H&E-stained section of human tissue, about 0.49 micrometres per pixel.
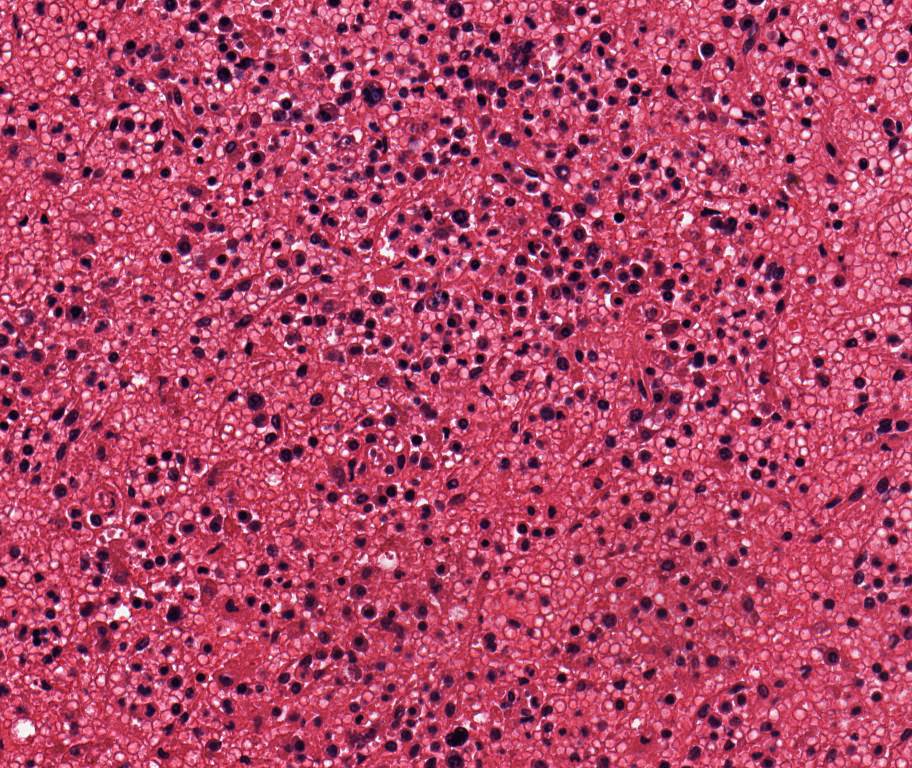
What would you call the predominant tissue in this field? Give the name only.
red pulp of the spleen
